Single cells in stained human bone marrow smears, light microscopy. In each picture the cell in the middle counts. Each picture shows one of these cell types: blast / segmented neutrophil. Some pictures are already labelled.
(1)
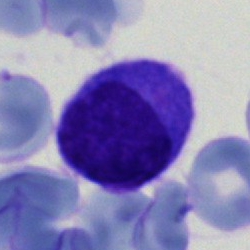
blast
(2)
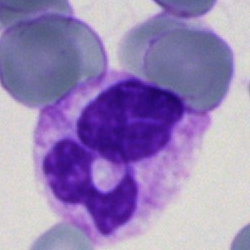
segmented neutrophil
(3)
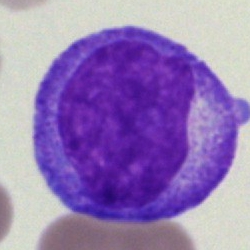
blast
